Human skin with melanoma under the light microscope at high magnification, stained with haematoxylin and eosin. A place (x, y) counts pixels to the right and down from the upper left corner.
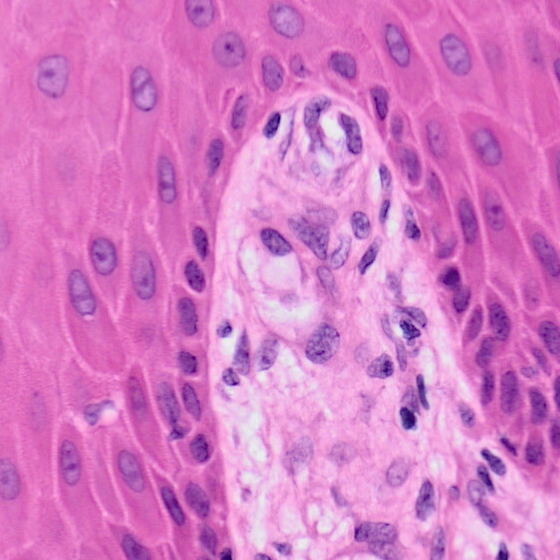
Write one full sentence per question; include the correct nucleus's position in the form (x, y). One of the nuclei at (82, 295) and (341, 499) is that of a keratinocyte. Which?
Among the two nuclei, the one lying at (82, 295) is part of a keratinocyte.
